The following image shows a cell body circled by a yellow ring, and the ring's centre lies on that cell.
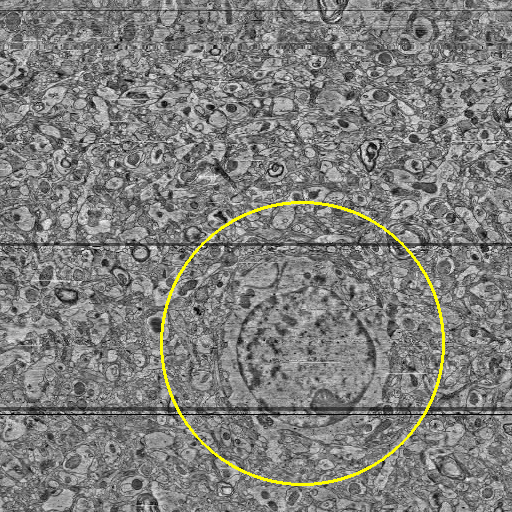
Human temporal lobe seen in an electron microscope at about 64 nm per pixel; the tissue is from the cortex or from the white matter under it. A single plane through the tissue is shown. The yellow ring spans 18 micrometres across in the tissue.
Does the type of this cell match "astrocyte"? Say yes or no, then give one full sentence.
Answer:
Yes, the type matches for the cell at the ring's centre in this picture.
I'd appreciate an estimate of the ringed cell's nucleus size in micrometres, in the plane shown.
In this plane the ringed cell's nucleus is roughly 9 micrometres across.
